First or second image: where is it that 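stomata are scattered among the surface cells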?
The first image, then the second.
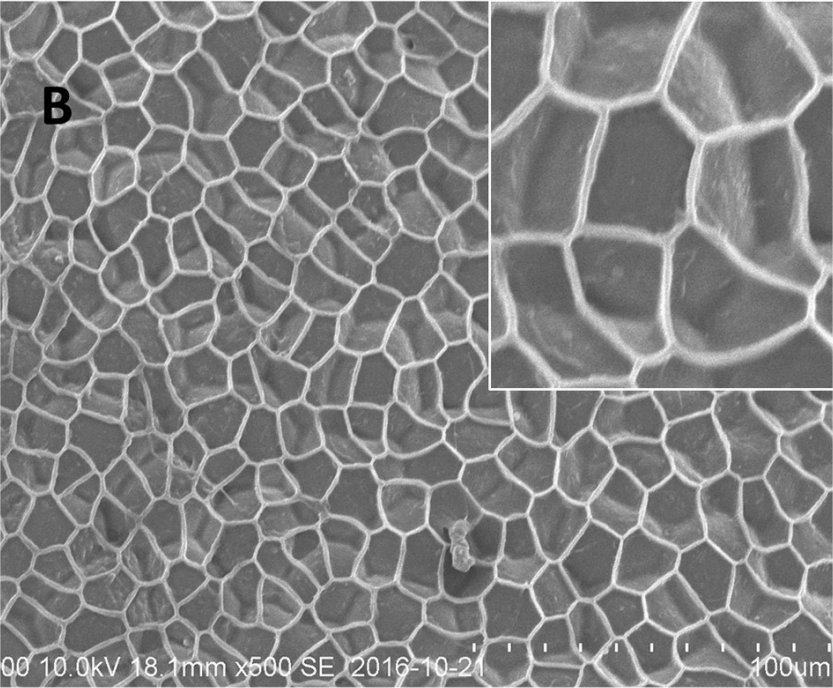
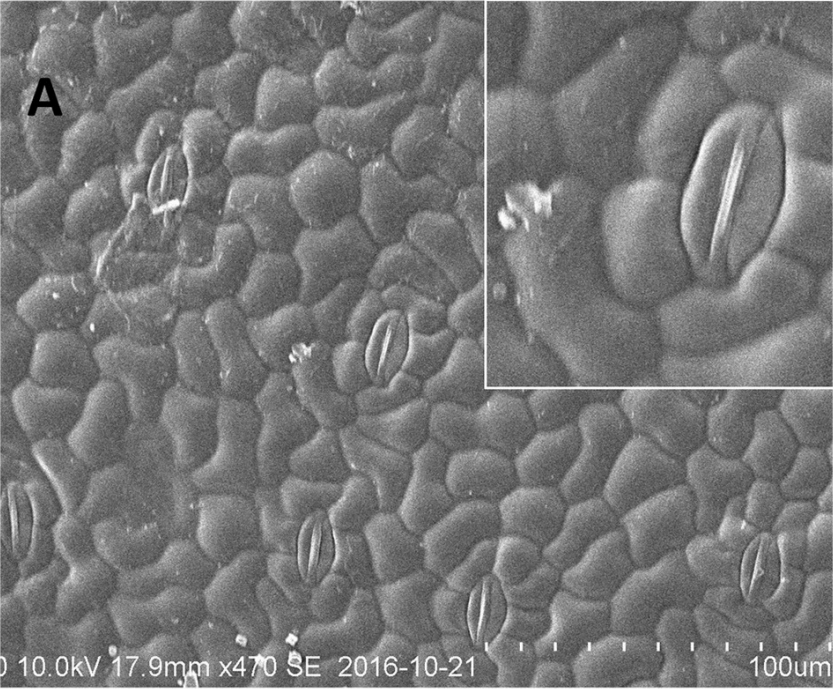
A: The second image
